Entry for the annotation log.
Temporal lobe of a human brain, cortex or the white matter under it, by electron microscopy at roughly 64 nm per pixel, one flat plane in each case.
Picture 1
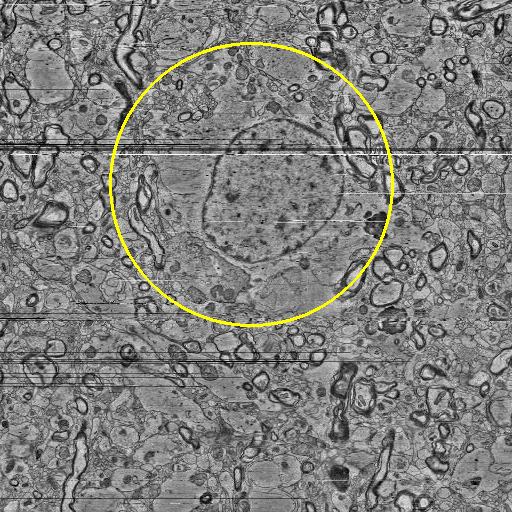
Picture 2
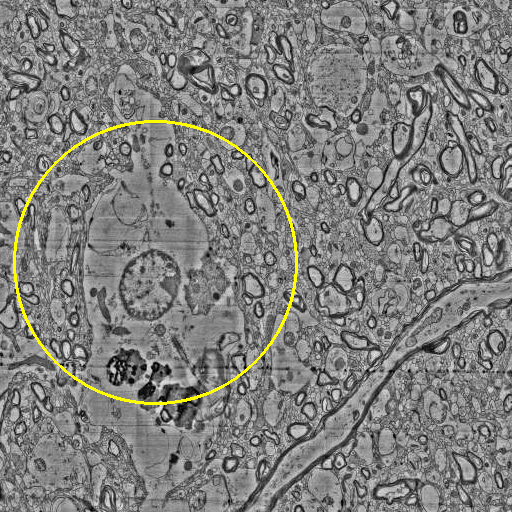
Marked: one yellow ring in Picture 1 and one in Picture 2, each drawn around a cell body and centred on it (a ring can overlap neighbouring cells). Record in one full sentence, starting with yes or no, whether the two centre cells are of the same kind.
Yes, both cells are of the same kind.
